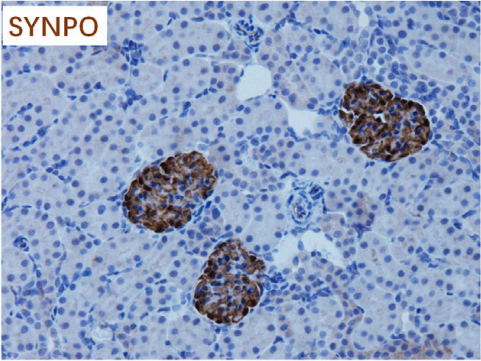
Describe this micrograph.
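Renal cortex with three round glomeruli lying among cross-sectioned tubules; the glomerular tufts are densely filled with dark brown stain over podocyte cell bodies wrapped around the capillary loops. The surrounding tubular epithelium shows only blue nuclei and pale cytoplasm, and a small vessel lies between the glomeruli.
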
